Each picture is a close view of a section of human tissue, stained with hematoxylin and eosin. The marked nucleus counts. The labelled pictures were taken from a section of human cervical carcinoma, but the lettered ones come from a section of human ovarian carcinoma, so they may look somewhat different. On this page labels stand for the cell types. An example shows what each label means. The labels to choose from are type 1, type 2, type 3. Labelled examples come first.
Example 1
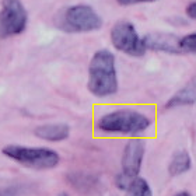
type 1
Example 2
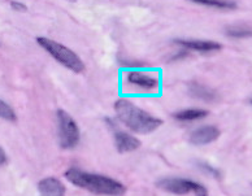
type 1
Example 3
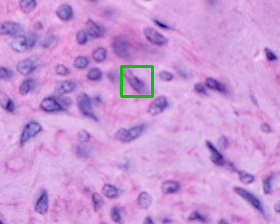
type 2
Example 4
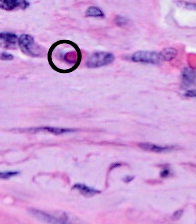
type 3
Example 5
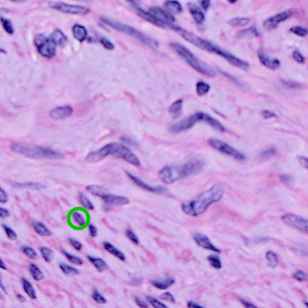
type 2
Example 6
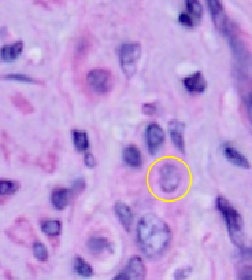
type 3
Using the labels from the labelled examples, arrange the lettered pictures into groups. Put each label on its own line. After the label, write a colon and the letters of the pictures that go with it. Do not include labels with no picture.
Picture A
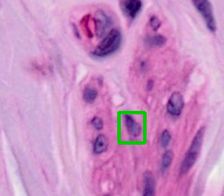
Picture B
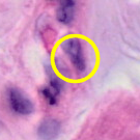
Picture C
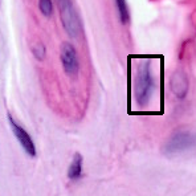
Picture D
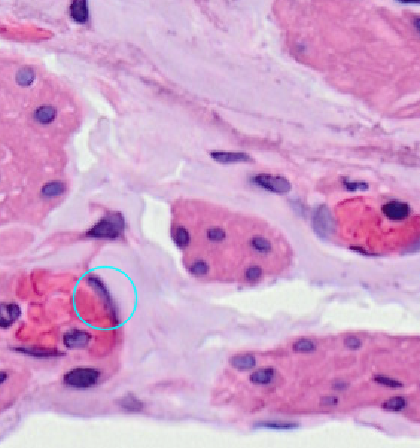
type 2: A
type 3: B, C, D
